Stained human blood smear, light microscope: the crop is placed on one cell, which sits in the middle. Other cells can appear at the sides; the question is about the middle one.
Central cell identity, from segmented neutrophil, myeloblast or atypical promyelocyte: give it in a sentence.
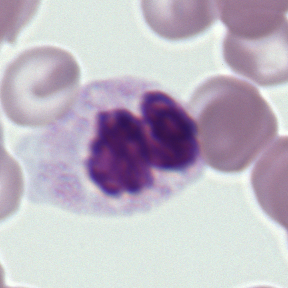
In this crop, the cell at the very middle is a segmented neutrophil.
